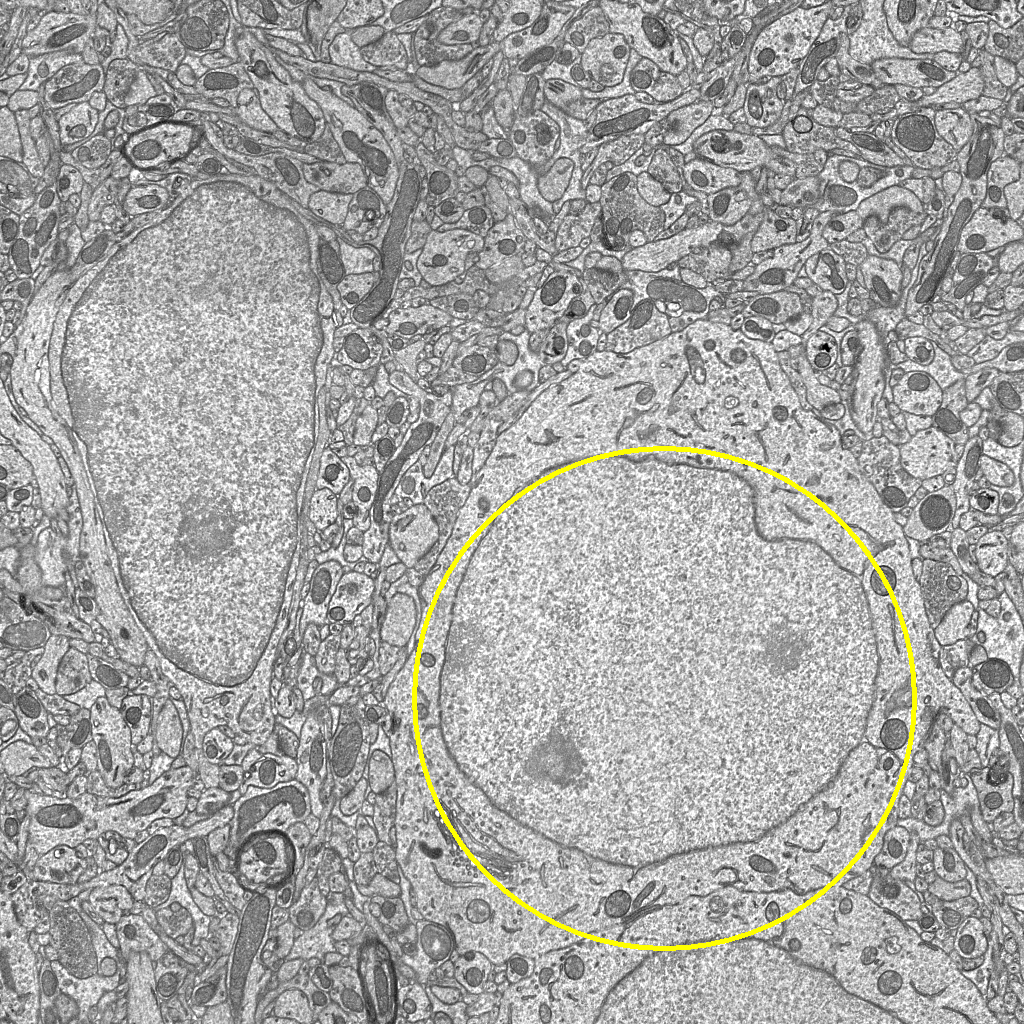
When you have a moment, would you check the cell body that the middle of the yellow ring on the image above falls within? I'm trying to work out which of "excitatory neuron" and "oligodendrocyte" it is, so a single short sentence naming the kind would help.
This cell body belongs to an excitatory neuron.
